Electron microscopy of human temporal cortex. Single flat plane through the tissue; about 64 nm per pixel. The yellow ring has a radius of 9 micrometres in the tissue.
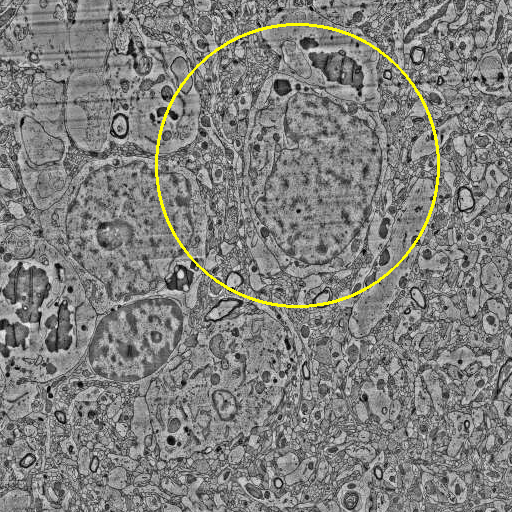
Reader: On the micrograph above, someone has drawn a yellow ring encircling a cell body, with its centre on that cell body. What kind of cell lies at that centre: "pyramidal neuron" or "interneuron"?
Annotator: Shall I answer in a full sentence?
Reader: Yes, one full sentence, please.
Here an interneuron sits at the centre of the yellow ring drawn on the micrograph.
